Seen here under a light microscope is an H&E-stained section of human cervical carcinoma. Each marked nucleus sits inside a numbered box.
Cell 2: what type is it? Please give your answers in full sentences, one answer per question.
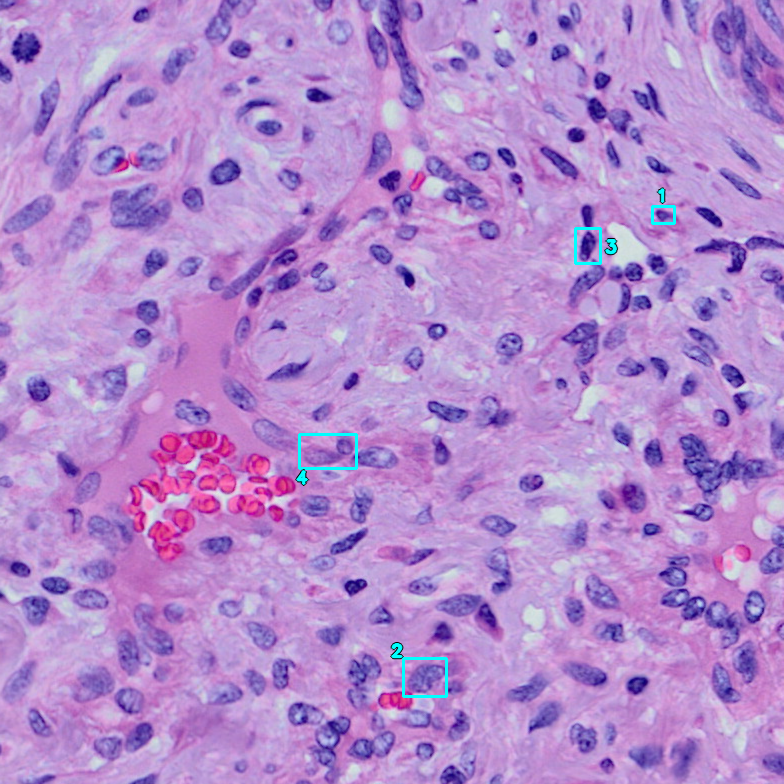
Number 2 among the marked cells is an endothelial cell.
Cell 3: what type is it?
Numbered cell 3 is a lymphocyte in this tissue section.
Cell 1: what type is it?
Nucleus 1 in this section belongs to a smooth muscle cell.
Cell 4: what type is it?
Denoted by the label 4 in the section is an endothelial cell.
